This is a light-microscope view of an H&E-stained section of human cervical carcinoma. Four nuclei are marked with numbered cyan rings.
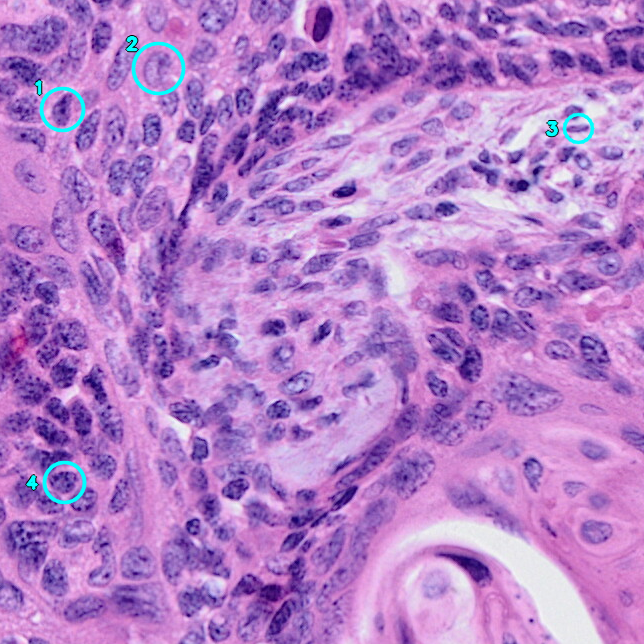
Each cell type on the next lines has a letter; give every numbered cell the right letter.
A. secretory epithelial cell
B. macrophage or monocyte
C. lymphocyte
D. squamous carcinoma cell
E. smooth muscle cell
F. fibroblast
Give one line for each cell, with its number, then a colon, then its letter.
1: D
2: D
3: F
4: D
